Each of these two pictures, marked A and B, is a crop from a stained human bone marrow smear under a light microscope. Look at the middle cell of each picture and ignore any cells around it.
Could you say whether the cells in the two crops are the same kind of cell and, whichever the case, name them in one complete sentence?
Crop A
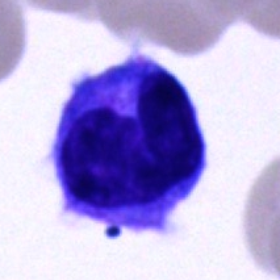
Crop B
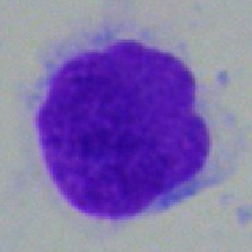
No: a monocyte sits in crop A, and a hairy cell sits in crop B.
